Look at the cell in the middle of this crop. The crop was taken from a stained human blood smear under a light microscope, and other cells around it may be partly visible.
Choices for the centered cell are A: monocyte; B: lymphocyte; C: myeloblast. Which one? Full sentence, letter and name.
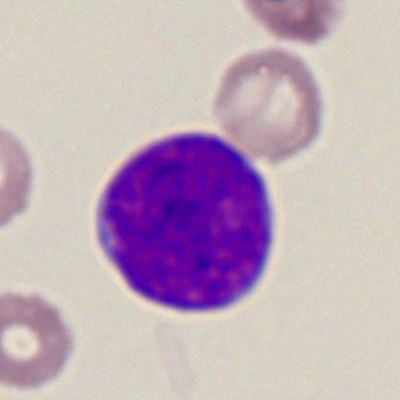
Option C is the correct one; it names the central cell as a myeloblast.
